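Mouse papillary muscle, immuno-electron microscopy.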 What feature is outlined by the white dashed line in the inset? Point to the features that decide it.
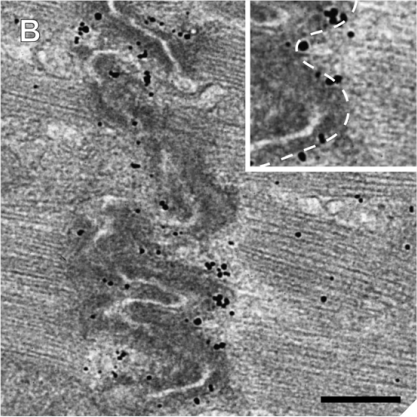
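The cytoplasmic edge of the dark plaque material. The dashed line follows the border between dark dense material and paler cytoplasm. Gold particles lie close to the dashed line.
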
